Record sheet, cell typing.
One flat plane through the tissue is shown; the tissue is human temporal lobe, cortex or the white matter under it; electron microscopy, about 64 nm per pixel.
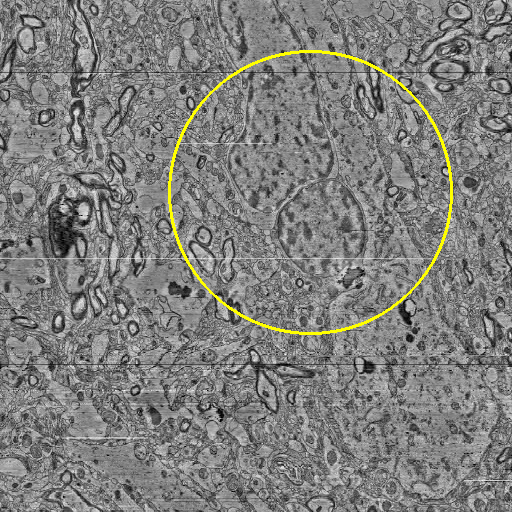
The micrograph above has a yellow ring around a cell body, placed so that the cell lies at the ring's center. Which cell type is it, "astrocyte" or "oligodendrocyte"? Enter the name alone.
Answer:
oligodendrocyte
